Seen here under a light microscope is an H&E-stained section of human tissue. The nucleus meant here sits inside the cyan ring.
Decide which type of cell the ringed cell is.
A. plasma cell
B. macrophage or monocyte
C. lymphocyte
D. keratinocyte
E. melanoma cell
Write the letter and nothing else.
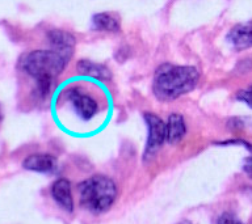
E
